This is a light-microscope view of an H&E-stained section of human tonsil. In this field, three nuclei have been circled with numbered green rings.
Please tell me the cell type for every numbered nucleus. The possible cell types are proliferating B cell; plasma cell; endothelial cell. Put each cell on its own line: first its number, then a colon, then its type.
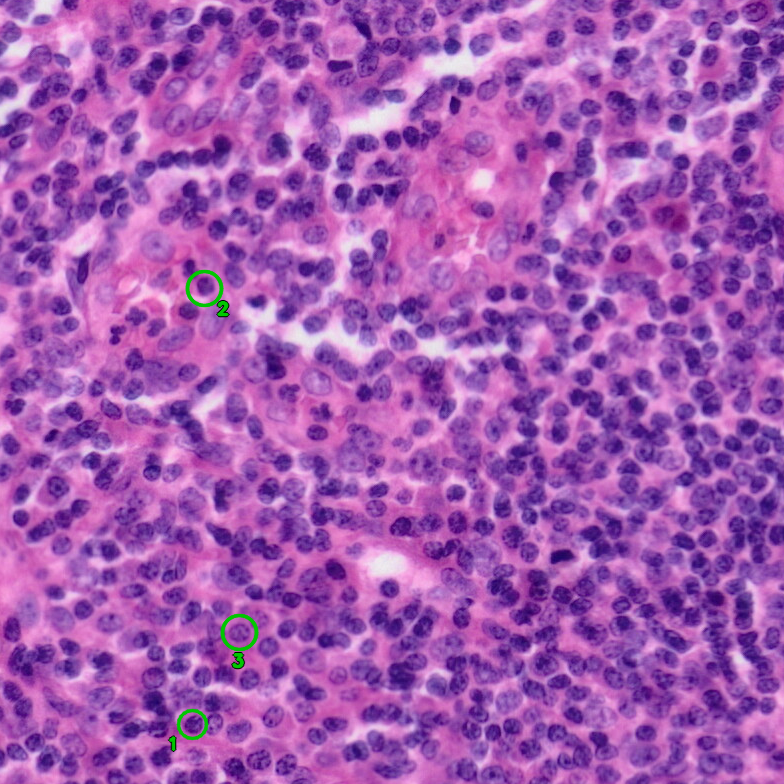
1: plasma cell
2: endothelial cell
3: plasma cell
